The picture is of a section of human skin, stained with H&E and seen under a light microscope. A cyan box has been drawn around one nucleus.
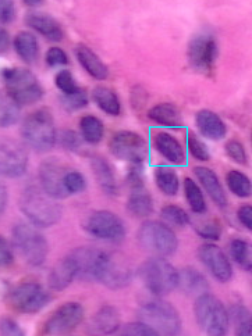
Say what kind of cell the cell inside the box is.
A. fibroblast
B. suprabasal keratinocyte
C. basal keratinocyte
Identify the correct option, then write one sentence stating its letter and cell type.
Option C is right, and the cell inside the box is a basal keratinocyte.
